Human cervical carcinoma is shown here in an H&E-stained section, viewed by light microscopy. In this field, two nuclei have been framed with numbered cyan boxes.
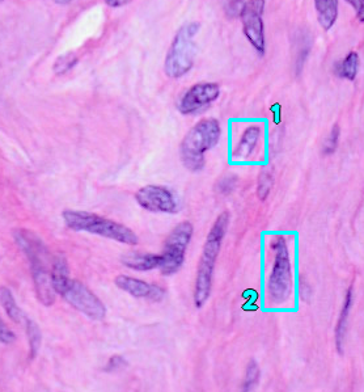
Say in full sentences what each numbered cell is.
Cell 1 is a smooth muscle cell. Cell 2 is a fibroblast.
